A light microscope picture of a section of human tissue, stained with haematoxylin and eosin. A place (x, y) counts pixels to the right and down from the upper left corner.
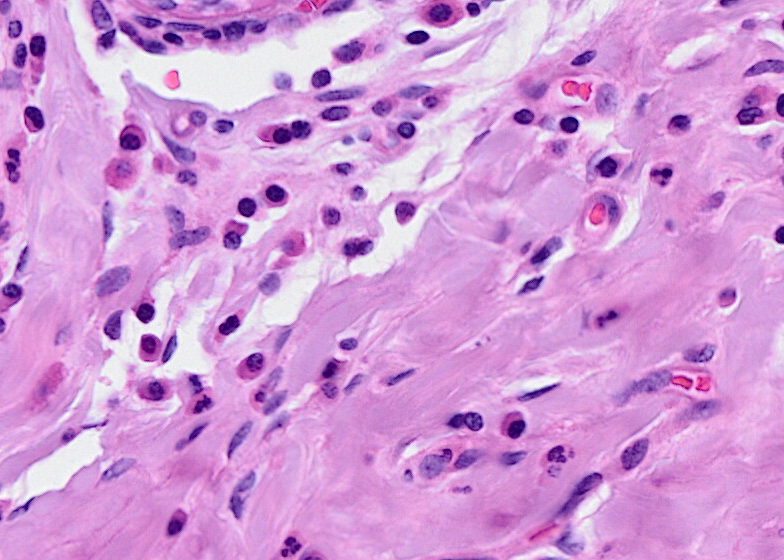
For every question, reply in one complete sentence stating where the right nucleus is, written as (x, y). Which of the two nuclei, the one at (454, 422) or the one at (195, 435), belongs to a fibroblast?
Among the two, the nucleus at (195, 435) is the nucleus of a fibroblast.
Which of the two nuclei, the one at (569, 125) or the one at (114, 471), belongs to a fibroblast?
Of the two options, the nucleus at (114, 471) is the one that belongs to a fibroblast.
